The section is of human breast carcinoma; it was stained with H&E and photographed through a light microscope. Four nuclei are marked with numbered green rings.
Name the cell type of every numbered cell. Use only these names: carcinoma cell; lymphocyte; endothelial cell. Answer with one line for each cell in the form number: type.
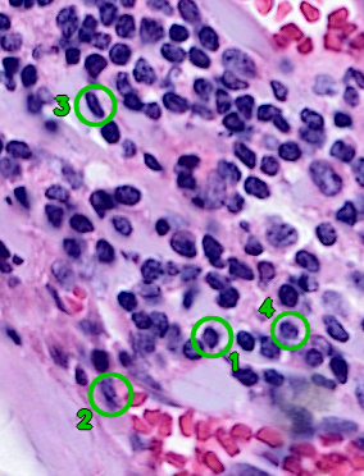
1: lymphocyte
2: endothelial cell
3: lymphocyte
4: lymphocyte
